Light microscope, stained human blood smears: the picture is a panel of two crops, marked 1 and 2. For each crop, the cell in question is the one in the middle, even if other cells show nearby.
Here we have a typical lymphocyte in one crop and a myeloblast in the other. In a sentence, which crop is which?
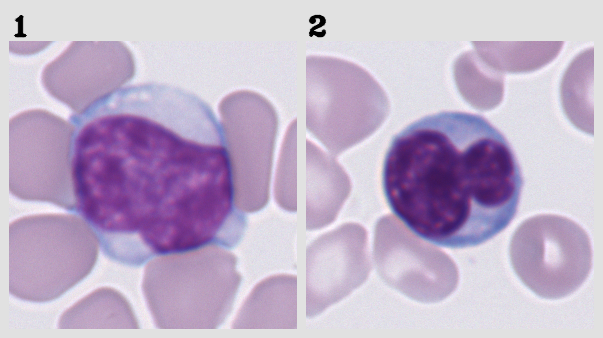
Crop 1 is recognised as a myeloblast, crop 2 as a typical lymphocyte.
